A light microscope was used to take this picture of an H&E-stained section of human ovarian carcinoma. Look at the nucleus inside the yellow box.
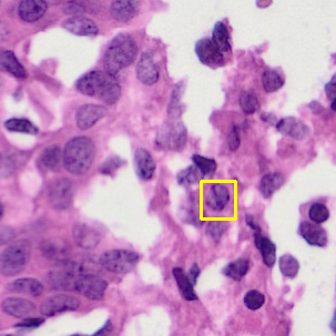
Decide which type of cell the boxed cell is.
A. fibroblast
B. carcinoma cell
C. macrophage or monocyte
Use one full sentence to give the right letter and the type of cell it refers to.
The correct choice is option C; the boxed cell is a macrophage or monocyte.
